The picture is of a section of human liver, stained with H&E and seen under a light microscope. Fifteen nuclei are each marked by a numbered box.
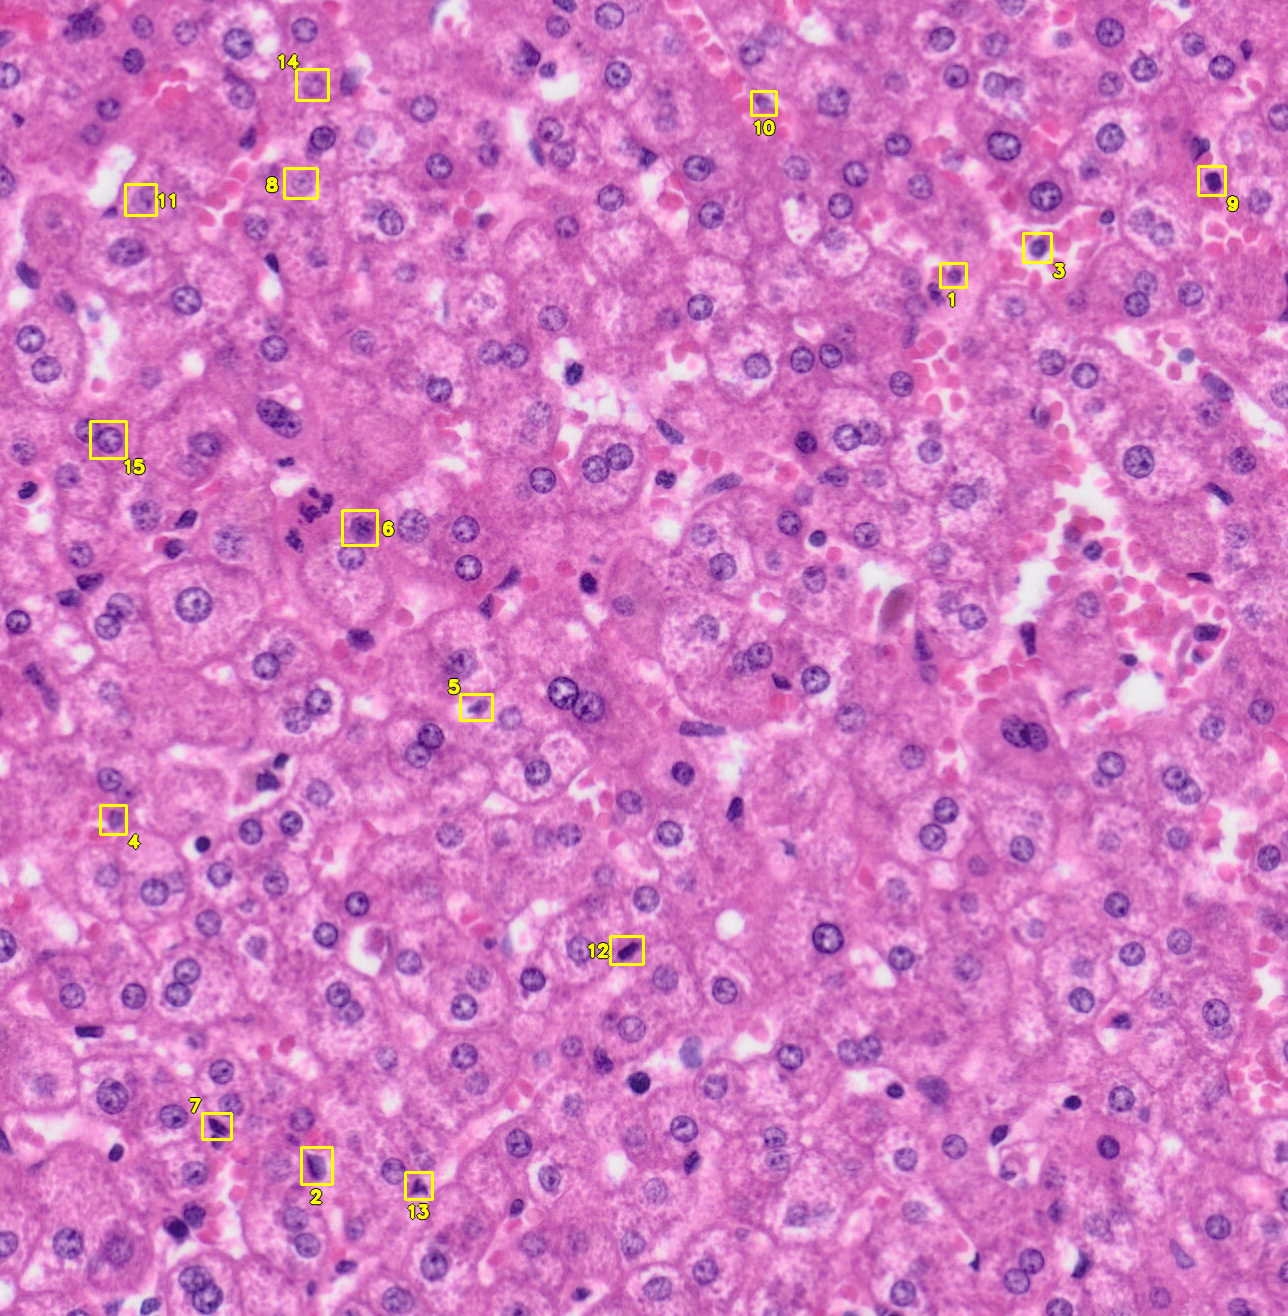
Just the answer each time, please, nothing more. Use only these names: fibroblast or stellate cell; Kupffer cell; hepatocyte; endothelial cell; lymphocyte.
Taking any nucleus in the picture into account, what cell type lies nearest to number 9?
endothelial cell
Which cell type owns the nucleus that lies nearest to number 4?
Kupffer cell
